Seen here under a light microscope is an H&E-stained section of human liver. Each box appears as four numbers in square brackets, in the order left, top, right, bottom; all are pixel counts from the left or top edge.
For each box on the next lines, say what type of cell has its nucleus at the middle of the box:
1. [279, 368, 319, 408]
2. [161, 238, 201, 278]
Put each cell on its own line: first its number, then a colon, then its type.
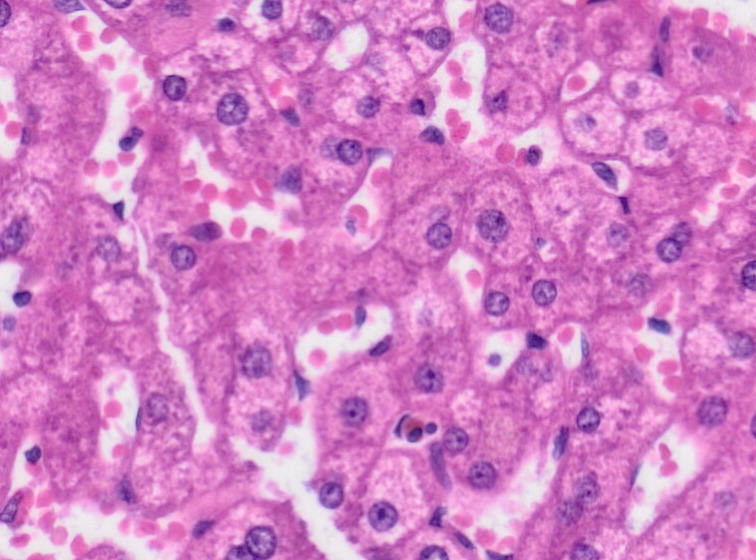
1: endothelial cell
2: hepatocyte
